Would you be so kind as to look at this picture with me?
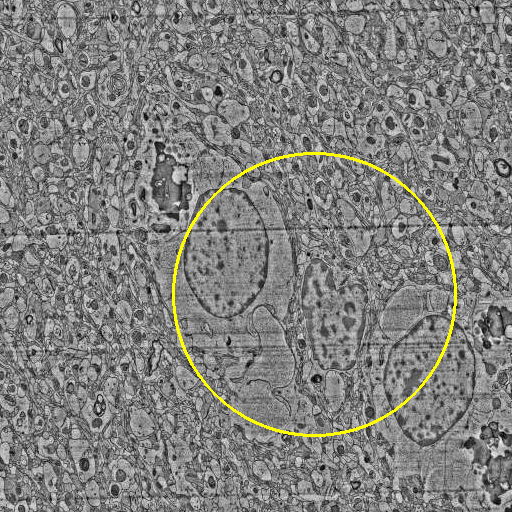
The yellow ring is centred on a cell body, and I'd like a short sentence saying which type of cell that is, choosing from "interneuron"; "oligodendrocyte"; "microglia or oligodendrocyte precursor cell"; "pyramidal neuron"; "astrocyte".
The cell body in the ring belongs to a microglial cell or oligodendrocyte precursor cell.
